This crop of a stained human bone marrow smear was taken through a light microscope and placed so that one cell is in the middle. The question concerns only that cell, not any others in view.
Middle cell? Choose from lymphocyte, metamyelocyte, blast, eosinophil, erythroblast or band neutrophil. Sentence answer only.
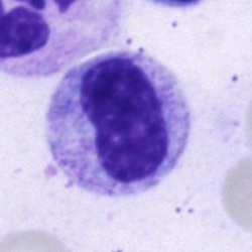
The cell under consideration, at the middle of the crop, is a metamyelocyte.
